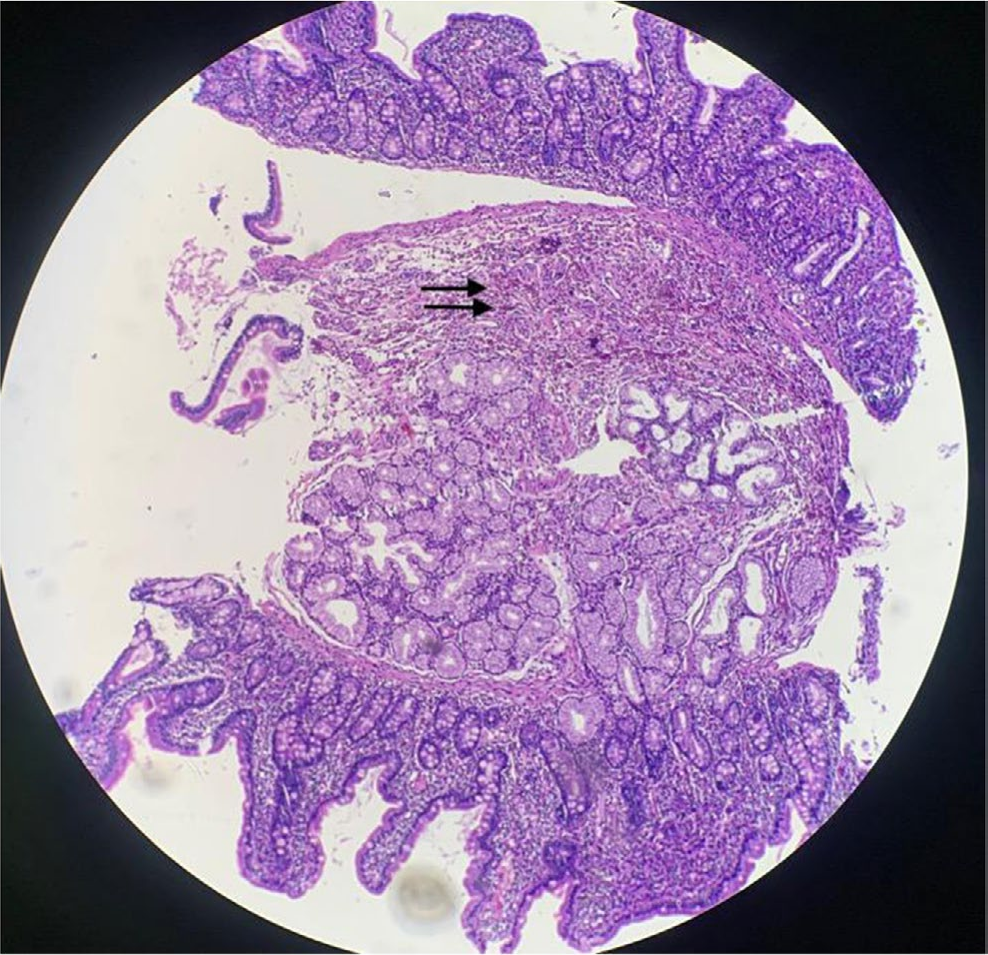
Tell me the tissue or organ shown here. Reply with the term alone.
Duodenal tissue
